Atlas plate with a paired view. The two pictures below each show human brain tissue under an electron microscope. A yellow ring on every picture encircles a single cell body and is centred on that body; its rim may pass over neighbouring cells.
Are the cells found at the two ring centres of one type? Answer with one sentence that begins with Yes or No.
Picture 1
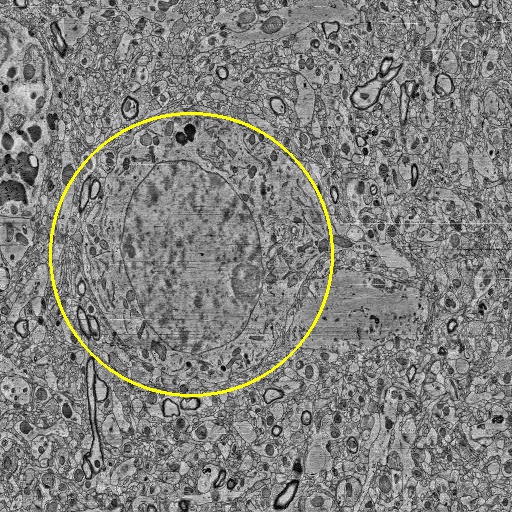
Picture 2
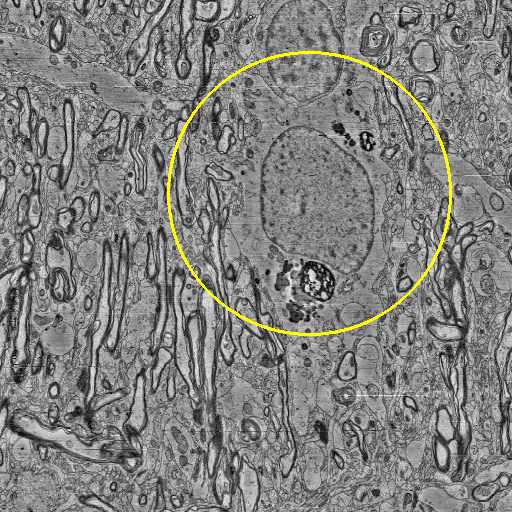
No, the two cells lying at the centres of the rings are of two types.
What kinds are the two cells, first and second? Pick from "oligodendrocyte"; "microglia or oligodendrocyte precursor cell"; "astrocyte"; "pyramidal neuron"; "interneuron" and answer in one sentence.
The second picture holds an astrocyte in its ring, and the first holds an interneuron.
